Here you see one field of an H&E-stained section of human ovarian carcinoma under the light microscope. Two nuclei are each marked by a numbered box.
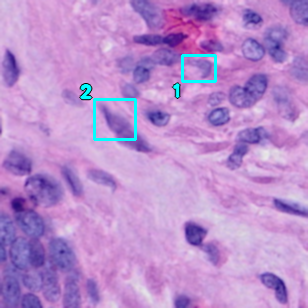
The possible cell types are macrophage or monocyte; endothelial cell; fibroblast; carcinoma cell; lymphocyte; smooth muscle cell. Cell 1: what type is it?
endothelial cell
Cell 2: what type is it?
fibroblast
